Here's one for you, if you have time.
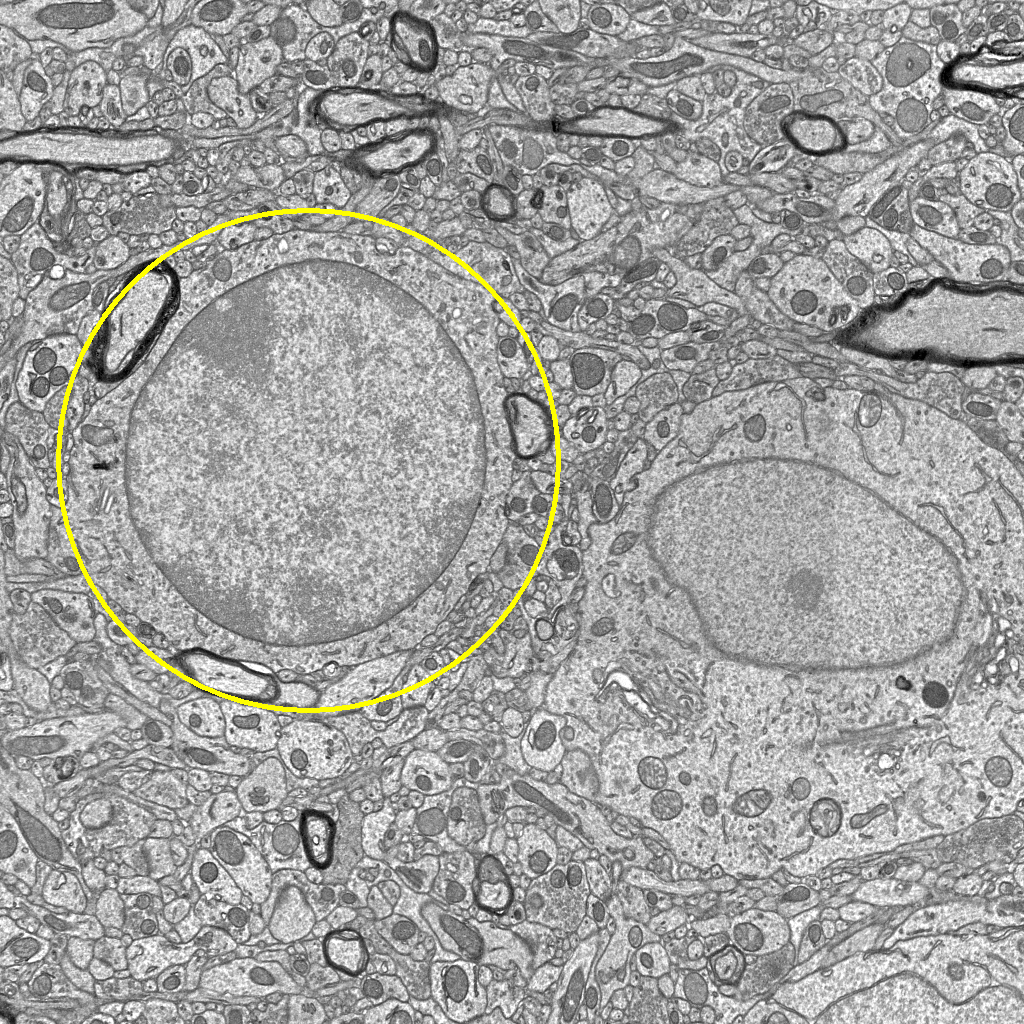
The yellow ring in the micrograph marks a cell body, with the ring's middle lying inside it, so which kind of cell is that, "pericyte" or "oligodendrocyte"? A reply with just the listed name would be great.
oligodendrocyte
